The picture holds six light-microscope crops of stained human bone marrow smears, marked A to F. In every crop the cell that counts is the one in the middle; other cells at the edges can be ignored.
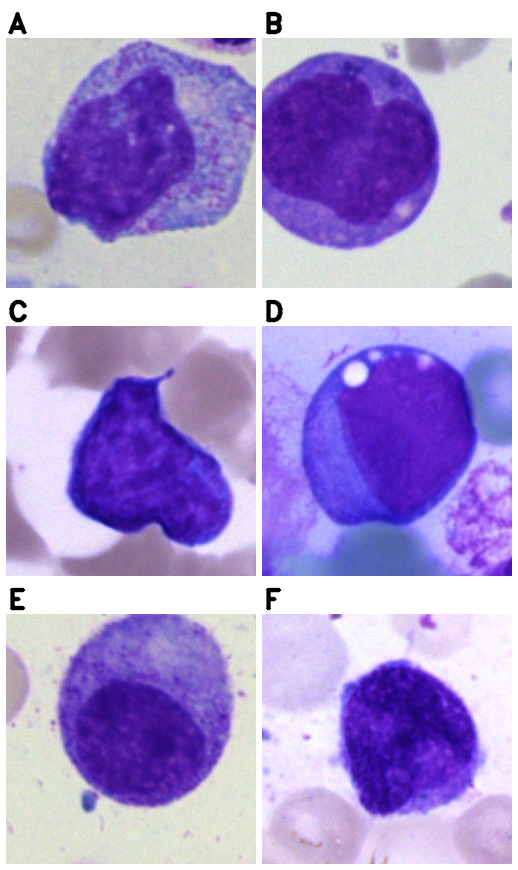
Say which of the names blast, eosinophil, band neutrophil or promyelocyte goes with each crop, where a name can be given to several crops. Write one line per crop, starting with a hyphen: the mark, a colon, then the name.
- A: promyelocyte
- B: blast
- C: blast
- D: blast
- E: promyelocyte
- F: blast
